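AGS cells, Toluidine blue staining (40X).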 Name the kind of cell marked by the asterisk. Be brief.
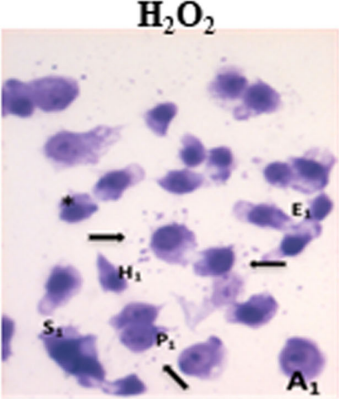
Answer: Small, round cells with heterochromatic nuclei.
